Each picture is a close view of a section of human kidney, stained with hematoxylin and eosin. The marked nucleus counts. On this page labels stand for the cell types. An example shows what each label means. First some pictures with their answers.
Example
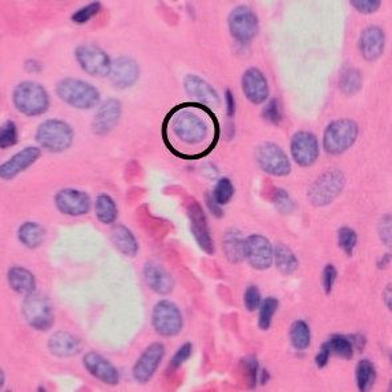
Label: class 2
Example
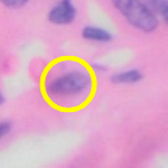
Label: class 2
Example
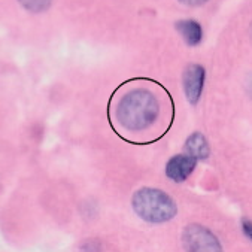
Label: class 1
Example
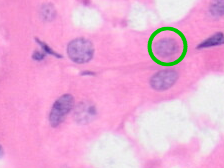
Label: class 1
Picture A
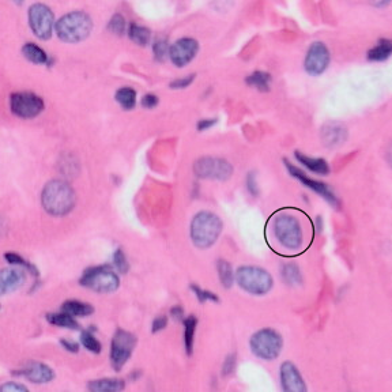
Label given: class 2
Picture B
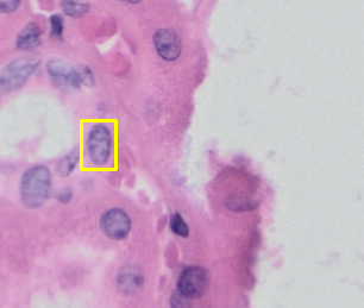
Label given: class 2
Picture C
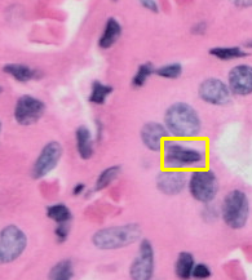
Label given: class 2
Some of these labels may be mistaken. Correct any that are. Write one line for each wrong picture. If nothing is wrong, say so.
Nothing to fix; every label fits.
